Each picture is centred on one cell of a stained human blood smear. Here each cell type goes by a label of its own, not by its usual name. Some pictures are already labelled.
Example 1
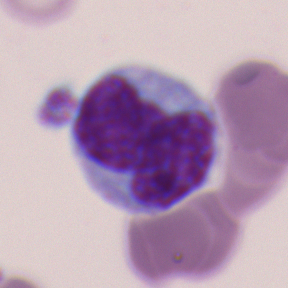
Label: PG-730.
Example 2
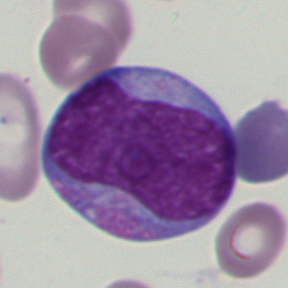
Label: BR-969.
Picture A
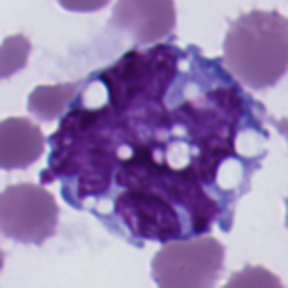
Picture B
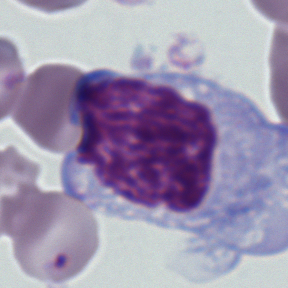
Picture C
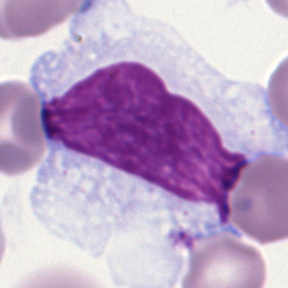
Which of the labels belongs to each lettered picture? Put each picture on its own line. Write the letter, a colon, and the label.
A: PG-730.
B: PG-730.
C: PG-730.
